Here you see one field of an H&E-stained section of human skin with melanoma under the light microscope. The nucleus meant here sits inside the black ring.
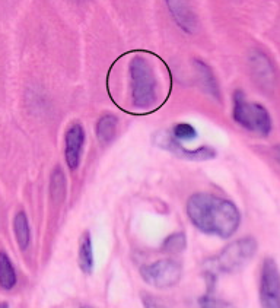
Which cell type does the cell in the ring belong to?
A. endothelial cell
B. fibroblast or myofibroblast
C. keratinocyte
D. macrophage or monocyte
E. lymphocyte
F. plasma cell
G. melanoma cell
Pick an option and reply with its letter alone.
C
